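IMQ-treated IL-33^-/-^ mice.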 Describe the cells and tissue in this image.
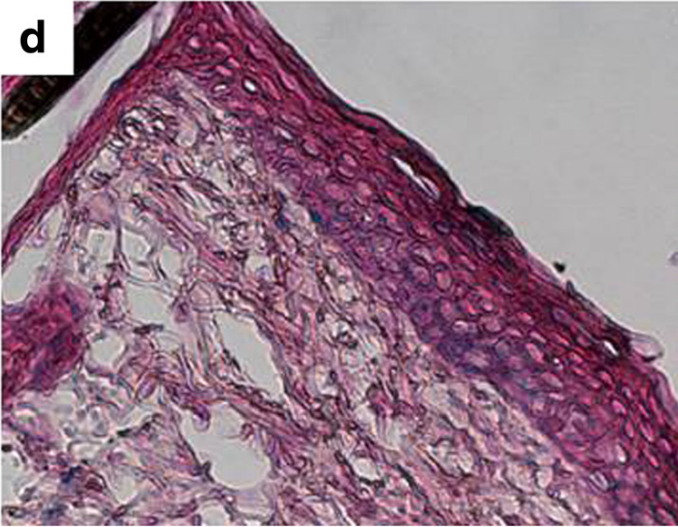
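This is skin with a stratified squamous epidermis of keratinocytes overlying a loose dermis. The keratinocytes of the deeper layers have round nuclei and clear perinuclear spaces, and blue deposits lie among these lower layers, while the uppermost cells are flattened and stained red without blue. Beneath, the dermis is a loose meshwork of fibres with open spaces, and a dark hair shaft is cut at the upper left corner.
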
